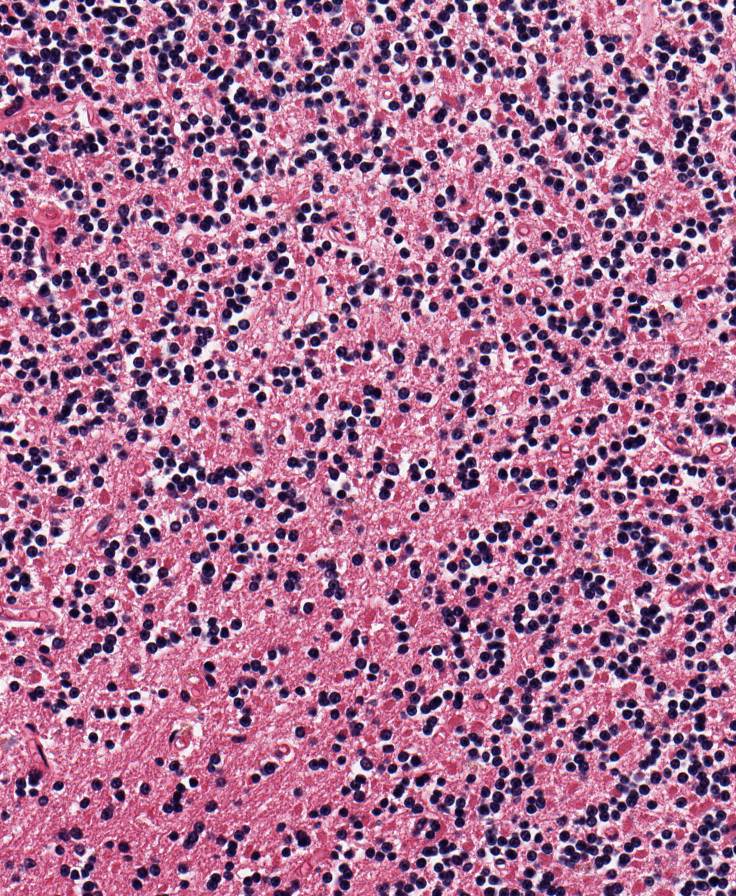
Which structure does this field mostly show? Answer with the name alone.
granular layer of the cerebellum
